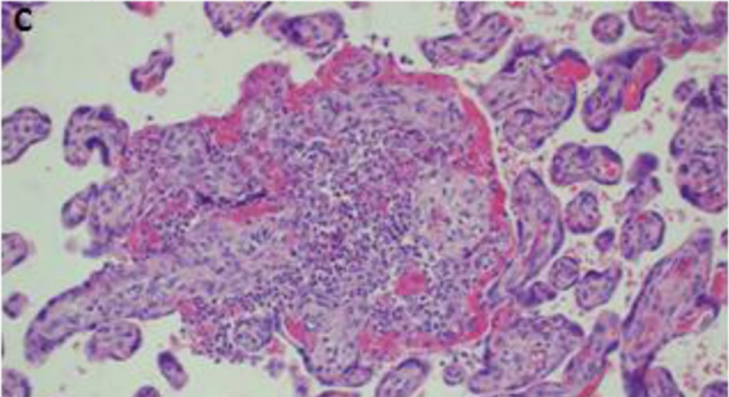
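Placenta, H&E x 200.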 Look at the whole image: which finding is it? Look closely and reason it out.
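One enlarged villus is packed with many small dark inflammatory nuclei. The affected villus is rimmed by bright pink material.
Conclusion: focal micro abscess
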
